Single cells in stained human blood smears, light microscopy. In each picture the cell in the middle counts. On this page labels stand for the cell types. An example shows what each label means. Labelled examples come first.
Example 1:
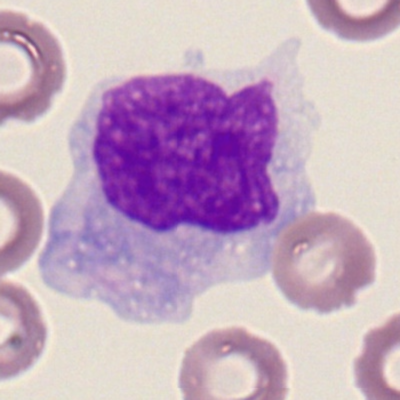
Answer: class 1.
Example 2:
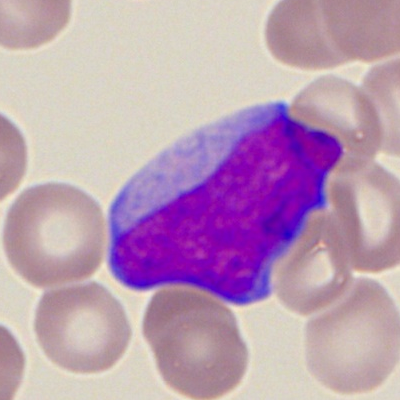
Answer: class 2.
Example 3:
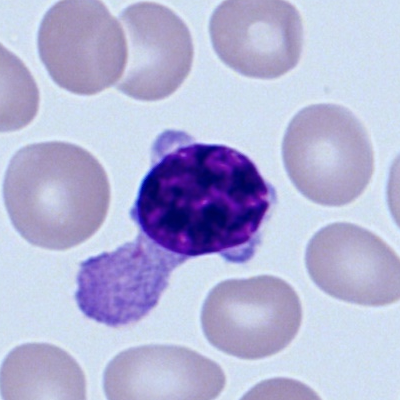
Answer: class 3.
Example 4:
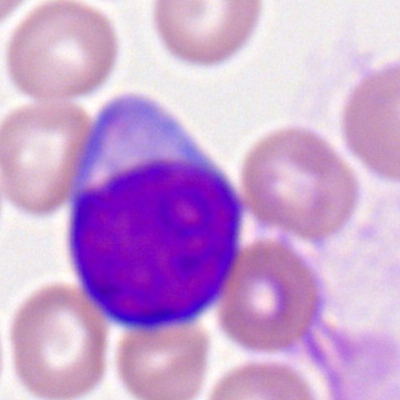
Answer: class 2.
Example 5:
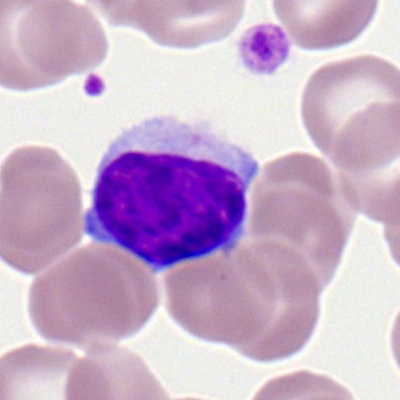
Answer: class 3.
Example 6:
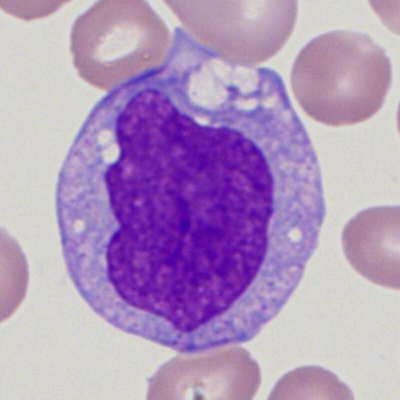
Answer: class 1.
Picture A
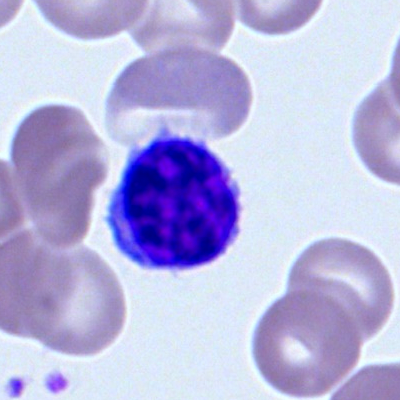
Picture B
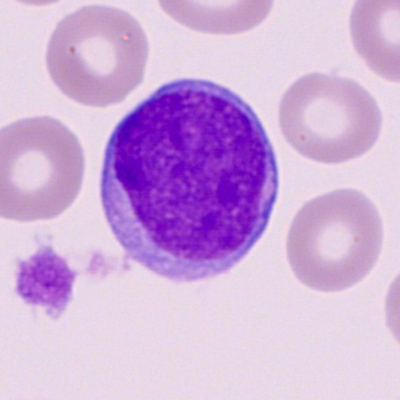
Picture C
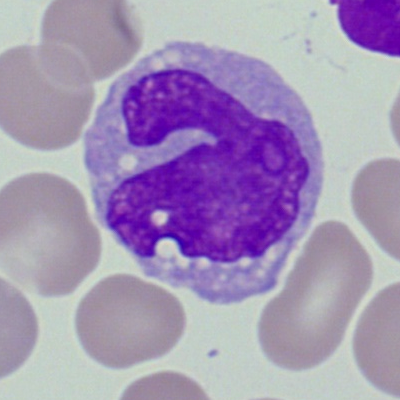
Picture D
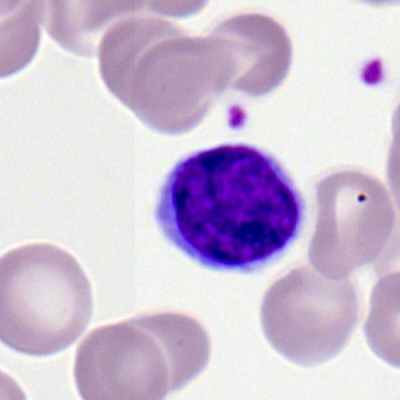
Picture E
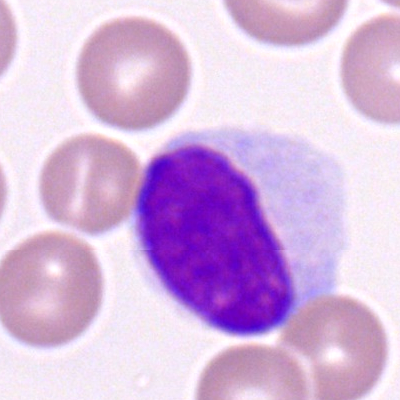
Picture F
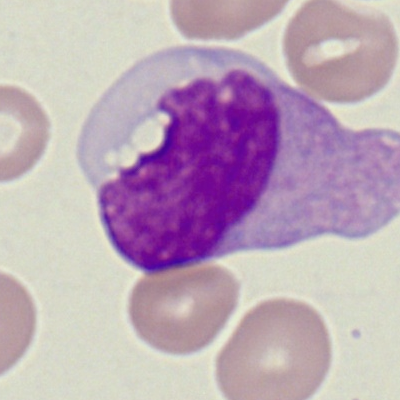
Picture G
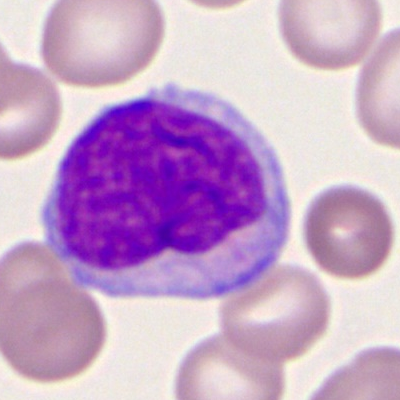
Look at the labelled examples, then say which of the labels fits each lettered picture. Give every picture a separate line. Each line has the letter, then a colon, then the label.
A: class 3.
B: class 2.
C: class 1.
D: class 3.
E: class 3.
F: class 1.
G: class 2.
